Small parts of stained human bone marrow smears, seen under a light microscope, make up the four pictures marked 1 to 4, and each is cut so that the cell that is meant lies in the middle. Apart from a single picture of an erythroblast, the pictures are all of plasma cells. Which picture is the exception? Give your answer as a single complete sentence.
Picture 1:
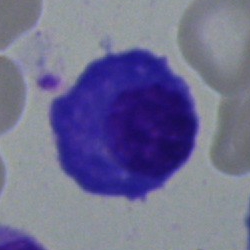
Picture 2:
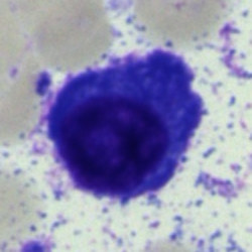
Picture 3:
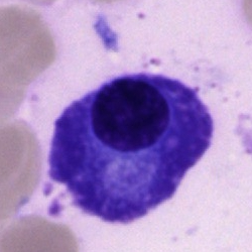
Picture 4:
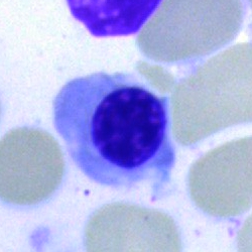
The erythroblast is the one in picture 4.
